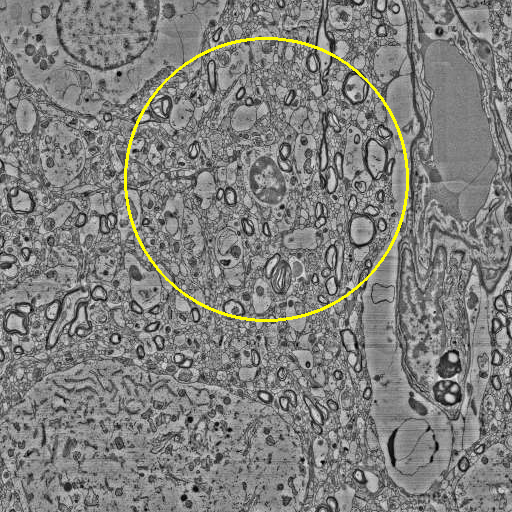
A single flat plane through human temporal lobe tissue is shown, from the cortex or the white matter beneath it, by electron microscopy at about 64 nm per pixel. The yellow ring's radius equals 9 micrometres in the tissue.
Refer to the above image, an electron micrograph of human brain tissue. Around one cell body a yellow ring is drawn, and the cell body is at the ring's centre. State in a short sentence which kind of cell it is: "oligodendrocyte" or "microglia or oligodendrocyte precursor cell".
The centre of the ring falls on a microglial cell or oligodendrocyte precursor cell.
